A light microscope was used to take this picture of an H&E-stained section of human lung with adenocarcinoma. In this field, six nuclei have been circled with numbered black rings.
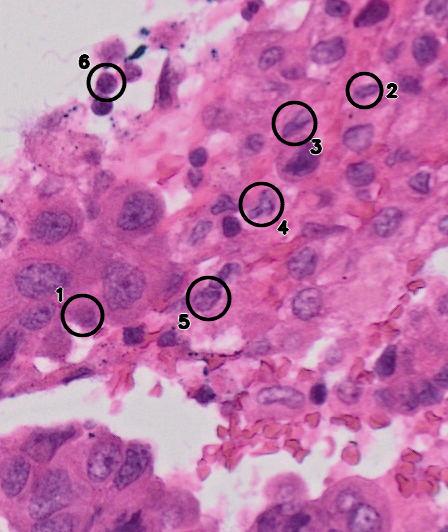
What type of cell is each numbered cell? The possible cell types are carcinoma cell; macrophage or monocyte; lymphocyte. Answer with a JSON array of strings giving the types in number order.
["carcinoma cell", "macrophage or monocyte", "macrophage or monocyte", "macrophage or monocyte", "macrophage or monocyte", "lymphocyte"]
